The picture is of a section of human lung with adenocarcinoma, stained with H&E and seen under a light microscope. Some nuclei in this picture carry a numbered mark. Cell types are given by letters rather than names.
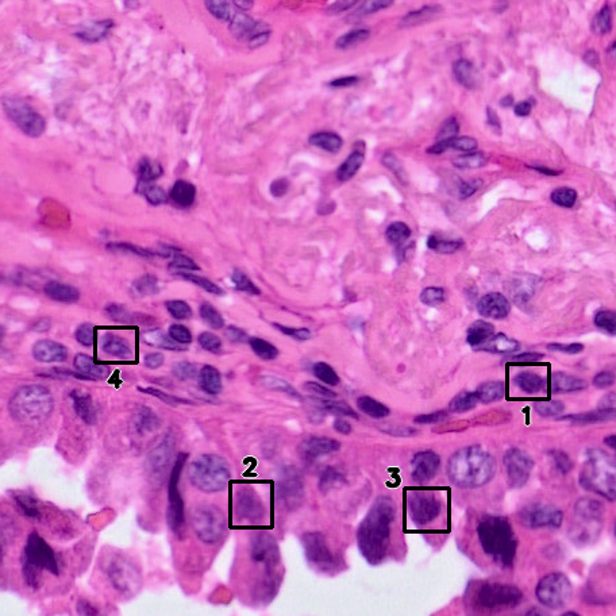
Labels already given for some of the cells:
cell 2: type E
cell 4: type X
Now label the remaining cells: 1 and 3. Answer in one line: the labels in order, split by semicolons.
type X; type E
